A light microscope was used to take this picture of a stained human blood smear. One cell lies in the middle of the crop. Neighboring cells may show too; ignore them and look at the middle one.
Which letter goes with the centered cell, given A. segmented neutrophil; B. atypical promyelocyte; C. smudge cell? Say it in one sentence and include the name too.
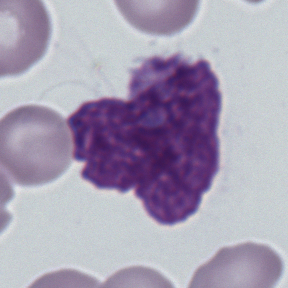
The correct option here is C; the middle cell is a smudge cell.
